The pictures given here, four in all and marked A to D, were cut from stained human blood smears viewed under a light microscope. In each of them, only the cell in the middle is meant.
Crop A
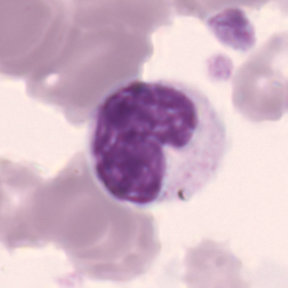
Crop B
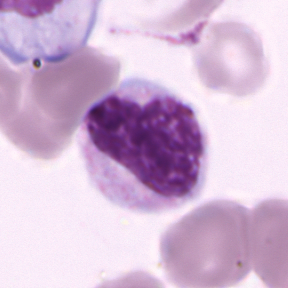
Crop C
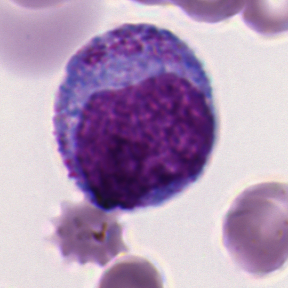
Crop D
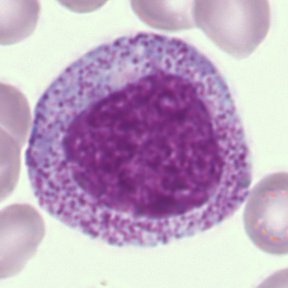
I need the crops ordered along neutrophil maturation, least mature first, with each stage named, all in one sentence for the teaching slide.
The right order here, from least to most mature, is crop C (a promyelocyte), crop D (a myelocyte), crop A (a metamyelocyte) and crop B (a band neutrophil).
